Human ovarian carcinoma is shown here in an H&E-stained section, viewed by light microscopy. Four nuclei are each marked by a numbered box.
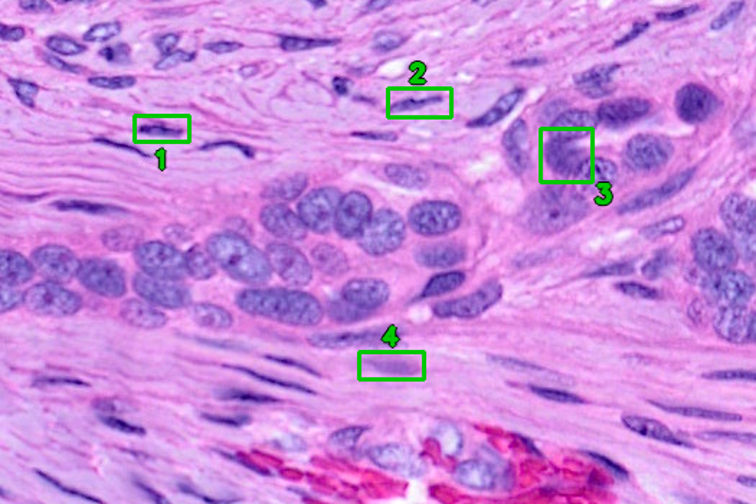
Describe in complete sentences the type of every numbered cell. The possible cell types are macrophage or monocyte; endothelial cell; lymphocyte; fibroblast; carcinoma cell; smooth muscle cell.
Cells 1, 2 and 4 are fibroblasts. Cell 3 is a carcinoma cell.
